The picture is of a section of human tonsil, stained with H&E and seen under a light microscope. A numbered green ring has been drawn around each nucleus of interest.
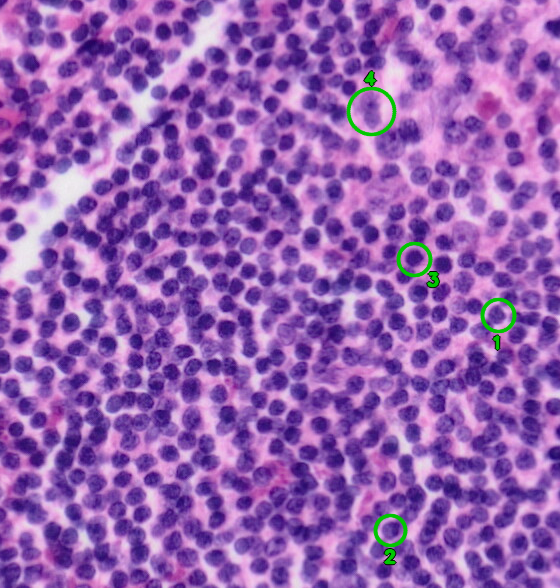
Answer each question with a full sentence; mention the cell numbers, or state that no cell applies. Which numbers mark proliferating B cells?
Among the numbered cells, the one that is a proliferating B cell is cell 4 alone.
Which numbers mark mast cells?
Across the numbered cells, there are no mast cells.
